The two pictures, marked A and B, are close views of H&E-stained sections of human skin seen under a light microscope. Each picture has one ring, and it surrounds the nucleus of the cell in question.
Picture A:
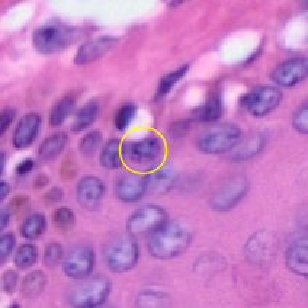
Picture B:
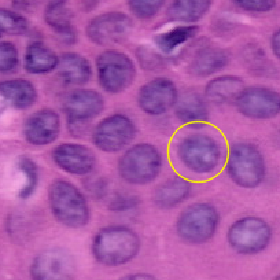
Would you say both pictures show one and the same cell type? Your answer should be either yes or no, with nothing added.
no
